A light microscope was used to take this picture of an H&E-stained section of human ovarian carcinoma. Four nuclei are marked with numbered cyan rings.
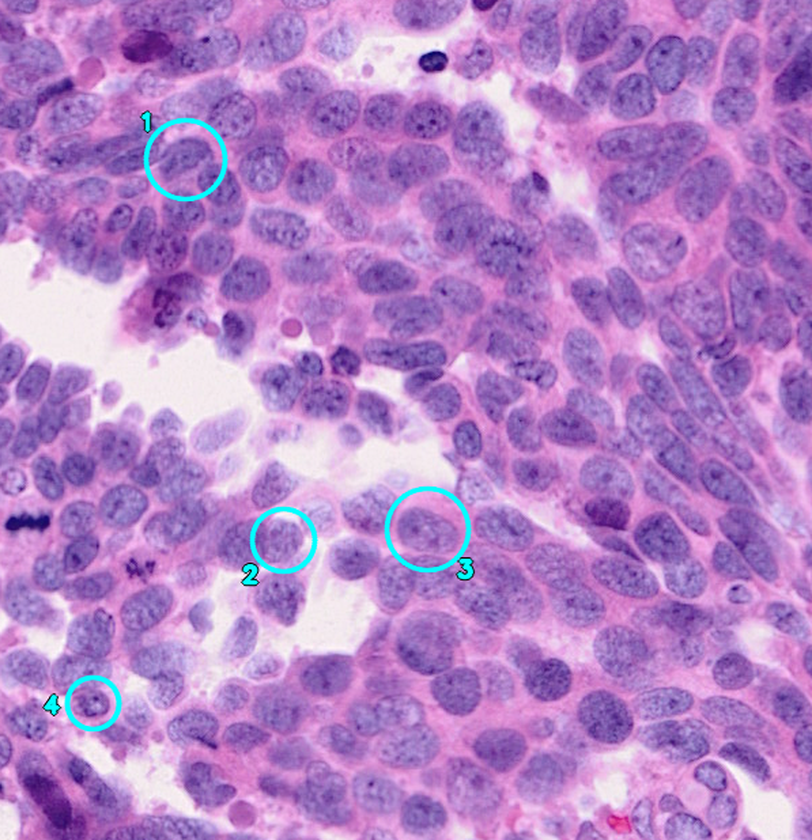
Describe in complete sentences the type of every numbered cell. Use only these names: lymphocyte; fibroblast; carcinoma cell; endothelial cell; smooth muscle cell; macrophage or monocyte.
Cell 1 is a carcinoma cell, cell 2 is a carcinoma cell, cell 3 is a carcinoma cell and cell 4 is a macrophage or monocyte.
